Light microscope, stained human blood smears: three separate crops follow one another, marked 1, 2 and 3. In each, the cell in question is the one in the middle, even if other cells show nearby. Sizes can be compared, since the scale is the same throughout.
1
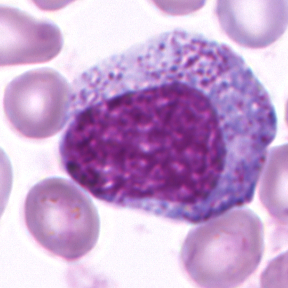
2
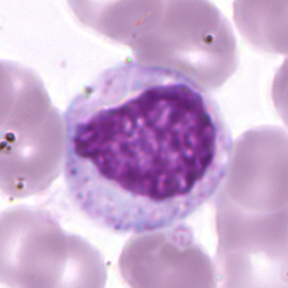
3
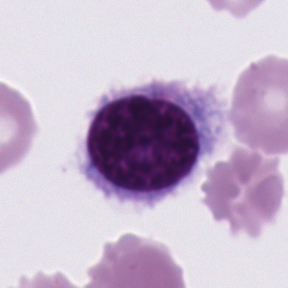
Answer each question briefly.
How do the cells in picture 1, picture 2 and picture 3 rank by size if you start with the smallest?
3, 2, 1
